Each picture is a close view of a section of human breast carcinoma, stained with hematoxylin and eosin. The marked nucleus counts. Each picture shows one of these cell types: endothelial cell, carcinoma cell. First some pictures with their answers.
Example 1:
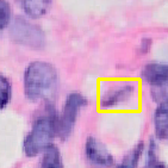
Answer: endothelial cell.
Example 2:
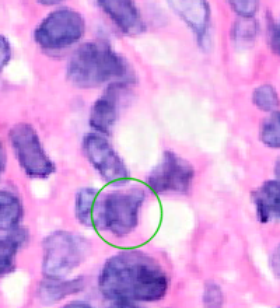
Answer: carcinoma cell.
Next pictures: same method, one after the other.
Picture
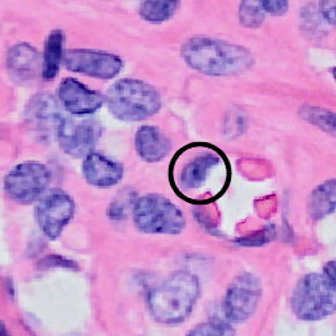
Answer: endothelial cell.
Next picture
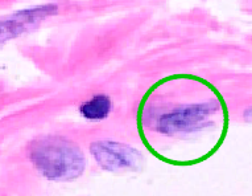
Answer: endothelial cell.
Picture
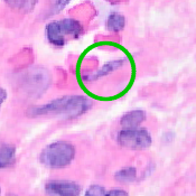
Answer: endothelial cell.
